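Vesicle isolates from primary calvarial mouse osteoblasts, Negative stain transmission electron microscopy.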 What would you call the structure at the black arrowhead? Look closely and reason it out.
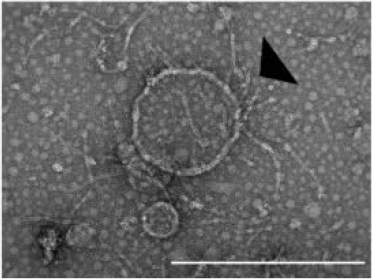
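Banded fibrils. Thin, long fibrillar strands run across the field. Several strands touch and curve along the rim of the round vesicle.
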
